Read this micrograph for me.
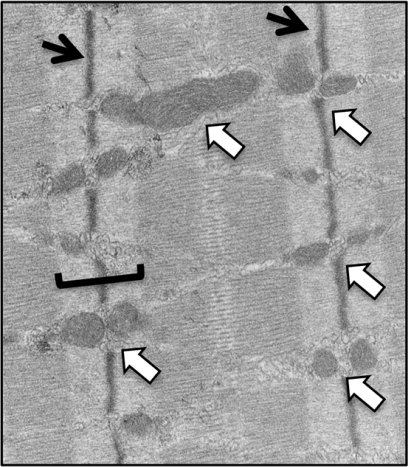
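Longitudinal section of skeletal muscle fibre showing regularly striated myofibrils crossed by dense dark Z-lines. Each Z-line lies within a pale I-band flanked by darker, denser regions of the sarcomere. Mitochondria sit in pairs and clusters on either side of the Z-lines between myofibrils, appearing as dark granular oval bodies with internal membranes. One mitochondrion is large and elongated, stretching along the fibre.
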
